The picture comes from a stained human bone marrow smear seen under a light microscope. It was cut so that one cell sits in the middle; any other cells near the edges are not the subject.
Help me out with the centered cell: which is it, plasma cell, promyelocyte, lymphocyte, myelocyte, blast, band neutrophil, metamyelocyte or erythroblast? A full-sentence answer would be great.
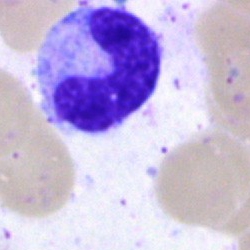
The middle of this crop is occupied by a band neutrophil.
